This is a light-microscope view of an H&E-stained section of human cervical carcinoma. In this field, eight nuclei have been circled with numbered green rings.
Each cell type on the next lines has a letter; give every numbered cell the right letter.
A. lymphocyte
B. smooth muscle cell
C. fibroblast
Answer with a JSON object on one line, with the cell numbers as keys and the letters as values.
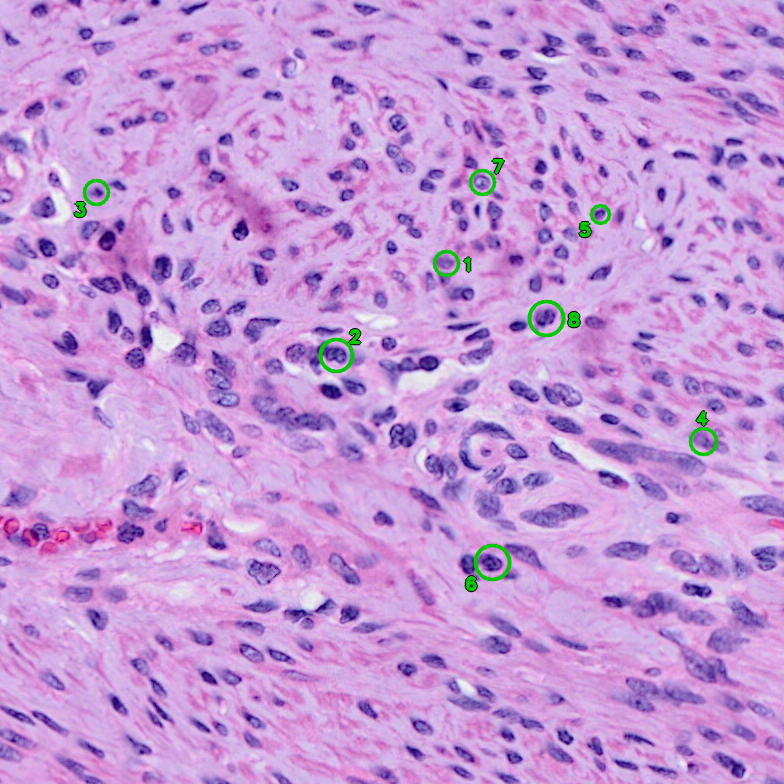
{"1": "B", "2": "A", "3": "C", "4": "B", "5": "B", "6": "A", "7": "B", "8": "A"}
